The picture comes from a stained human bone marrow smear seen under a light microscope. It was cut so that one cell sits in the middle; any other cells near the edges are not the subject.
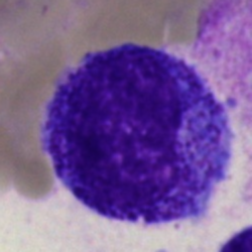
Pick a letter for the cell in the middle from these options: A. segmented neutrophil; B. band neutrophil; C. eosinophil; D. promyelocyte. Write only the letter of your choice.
D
